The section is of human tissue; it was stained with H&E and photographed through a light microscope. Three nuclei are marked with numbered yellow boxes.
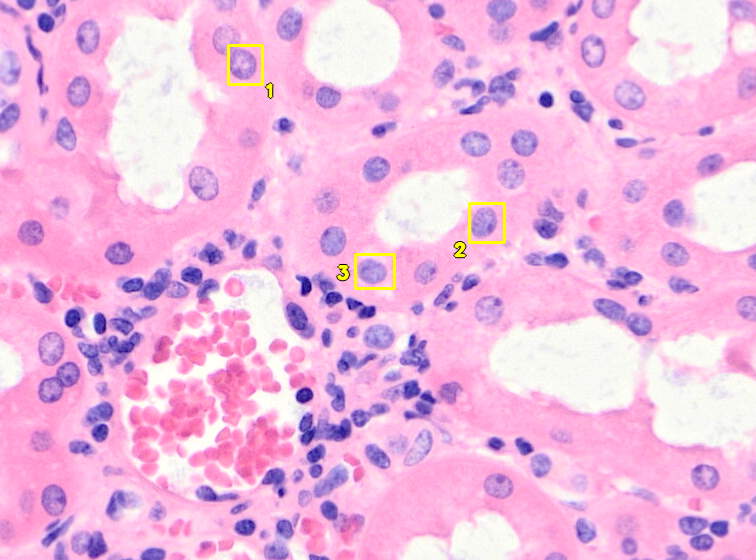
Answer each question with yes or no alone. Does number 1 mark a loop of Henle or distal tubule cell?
no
